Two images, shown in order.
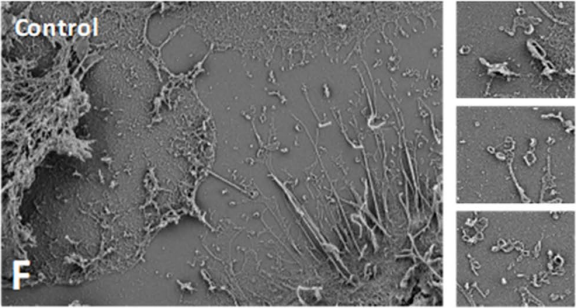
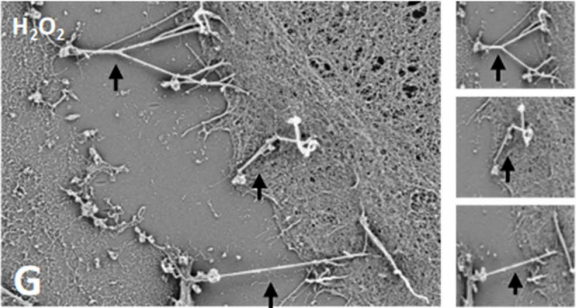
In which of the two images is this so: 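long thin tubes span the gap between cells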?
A: The second image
